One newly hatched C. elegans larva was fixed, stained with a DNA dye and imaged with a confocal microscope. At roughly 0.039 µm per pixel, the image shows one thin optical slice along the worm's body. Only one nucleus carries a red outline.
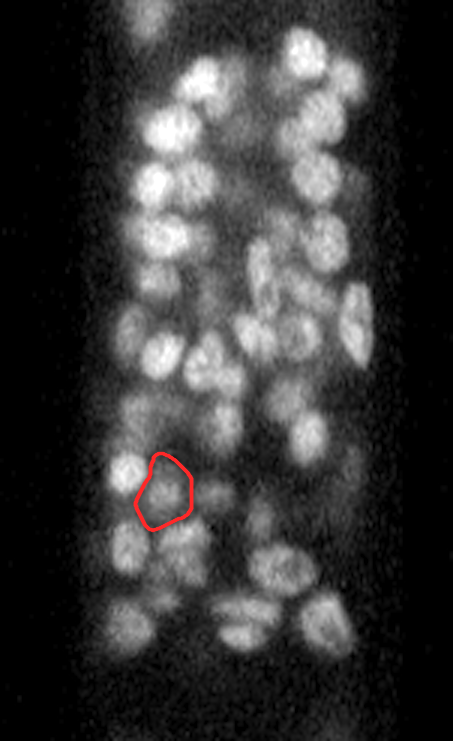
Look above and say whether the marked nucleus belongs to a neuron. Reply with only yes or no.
no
